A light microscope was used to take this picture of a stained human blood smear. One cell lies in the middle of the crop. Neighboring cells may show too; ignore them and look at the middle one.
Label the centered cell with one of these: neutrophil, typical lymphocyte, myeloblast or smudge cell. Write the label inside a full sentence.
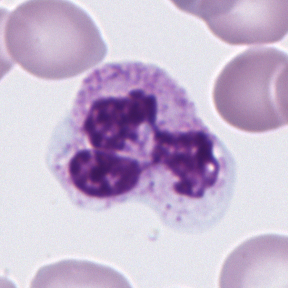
The cell in the exact centre of the crop is a neutrophil.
